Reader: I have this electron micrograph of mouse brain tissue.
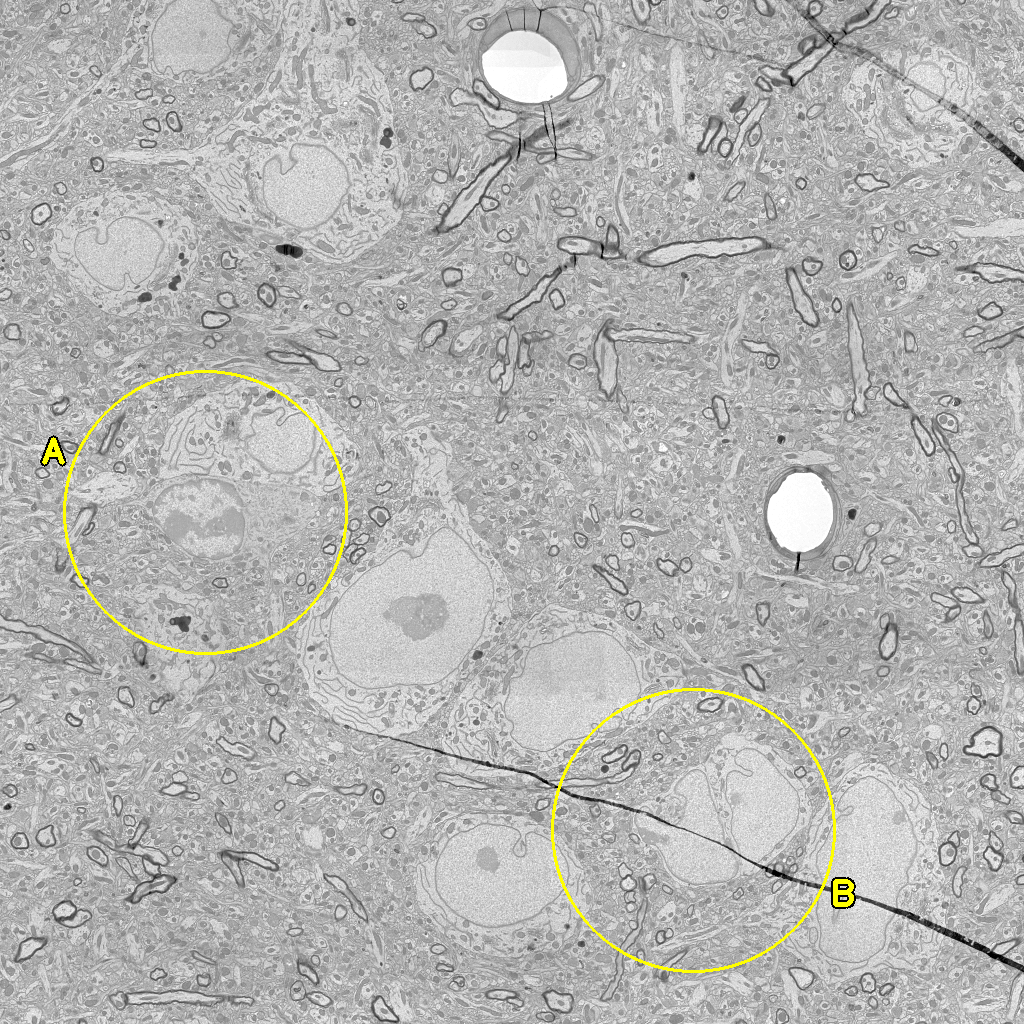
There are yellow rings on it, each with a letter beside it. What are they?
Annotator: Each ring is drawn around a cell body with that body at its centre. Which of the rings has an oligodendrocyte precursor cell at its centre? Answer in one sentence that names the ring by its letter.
That cell sits at the centre of ring B.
